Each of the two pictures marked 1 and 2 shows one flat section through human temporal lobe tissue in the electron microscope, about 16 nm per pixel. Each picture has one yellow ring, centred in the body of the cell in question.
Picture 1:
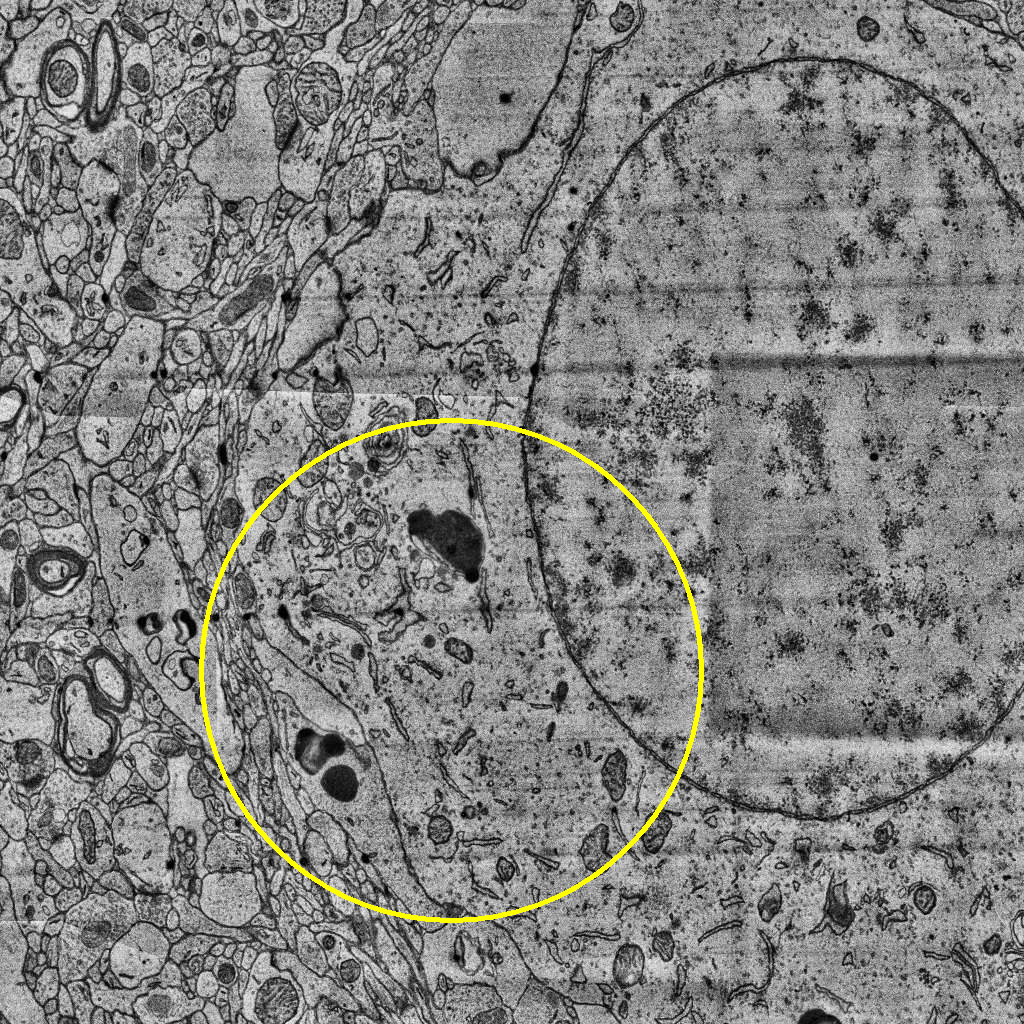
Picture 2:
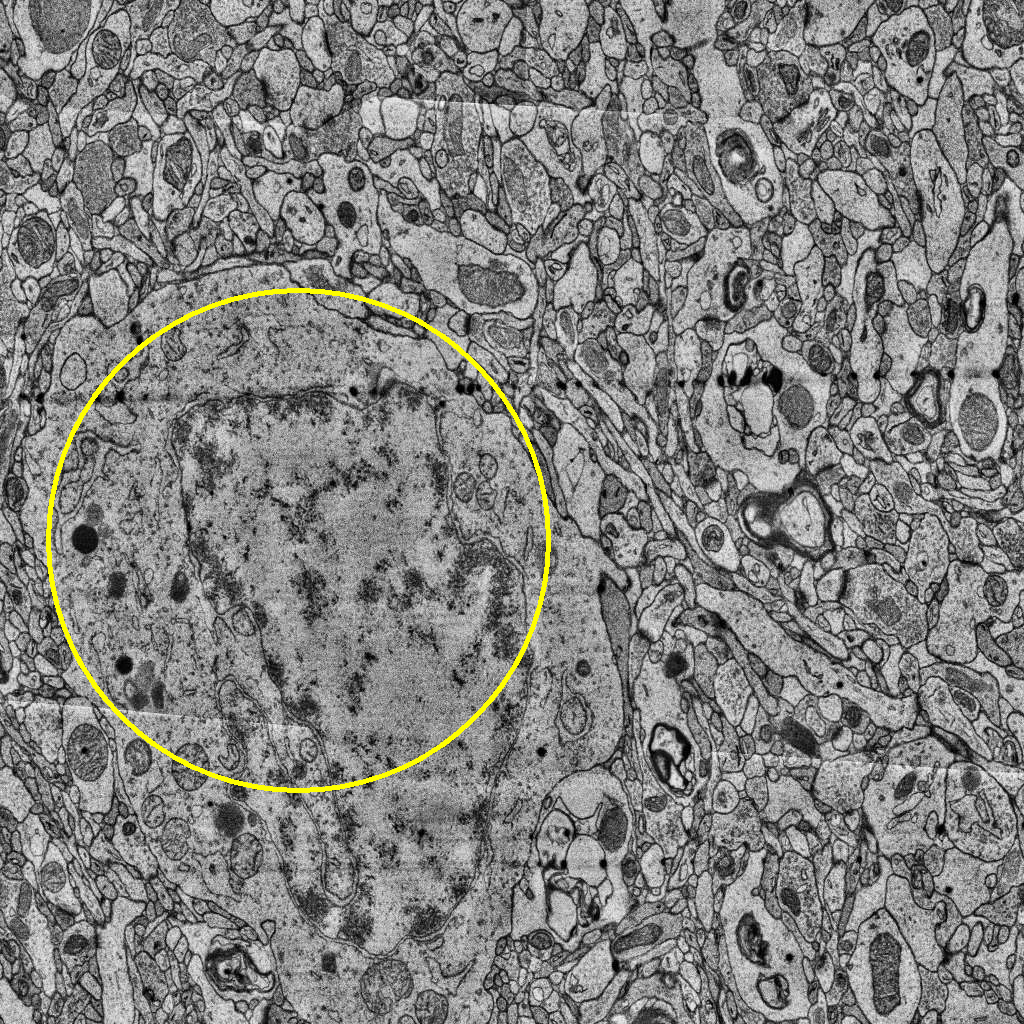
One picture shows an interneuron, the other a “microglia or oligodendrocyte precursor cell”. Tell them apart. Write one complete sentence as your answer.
In picture 1 the cell is a “microglia or oligodendrocyte precursor cell”; in picture 2, an interneuron.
